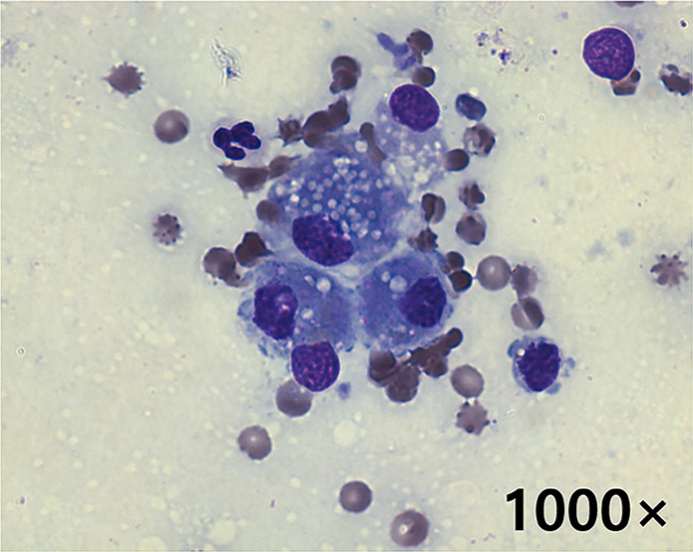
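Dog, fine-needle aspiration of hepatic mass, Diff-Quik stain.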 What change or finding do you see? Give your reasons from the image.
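Cytoplasmic vacuolization. The central cell has blue cytoplasm containing numerous small clear vacuoles.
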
